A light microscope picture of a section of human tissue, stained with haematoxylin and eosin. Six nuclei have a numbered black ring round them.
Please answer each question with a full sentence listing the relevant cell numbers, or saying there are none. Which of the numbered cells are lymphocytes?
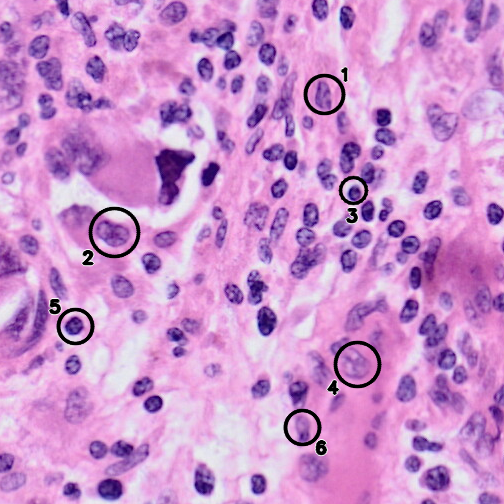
In this section, the cells numbered 3 and 5 are lymphocytes.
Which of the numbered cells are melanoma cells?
Only cell 2 should be marked as a melanoma cell.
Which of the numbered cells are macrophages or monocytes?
The cells bearing the numbers 1 and 6 are macrophages or monocytes.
